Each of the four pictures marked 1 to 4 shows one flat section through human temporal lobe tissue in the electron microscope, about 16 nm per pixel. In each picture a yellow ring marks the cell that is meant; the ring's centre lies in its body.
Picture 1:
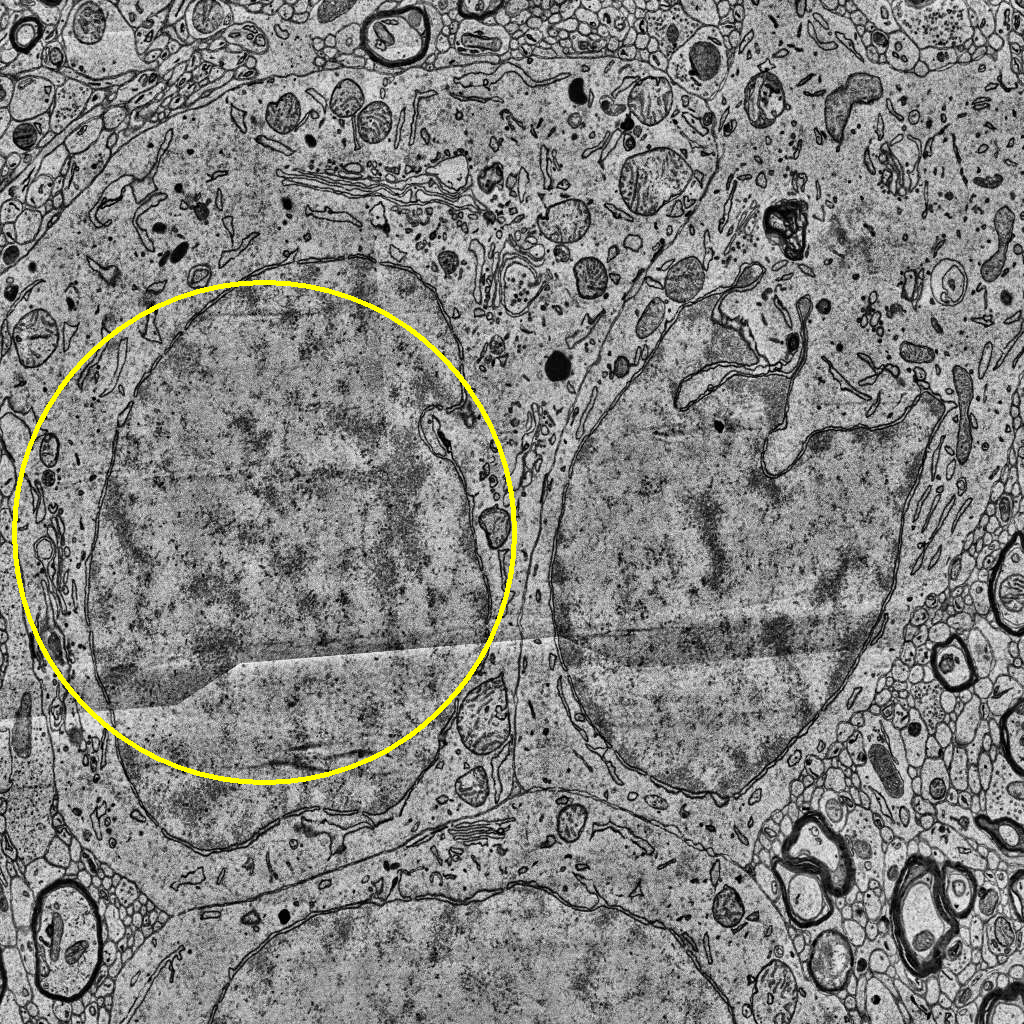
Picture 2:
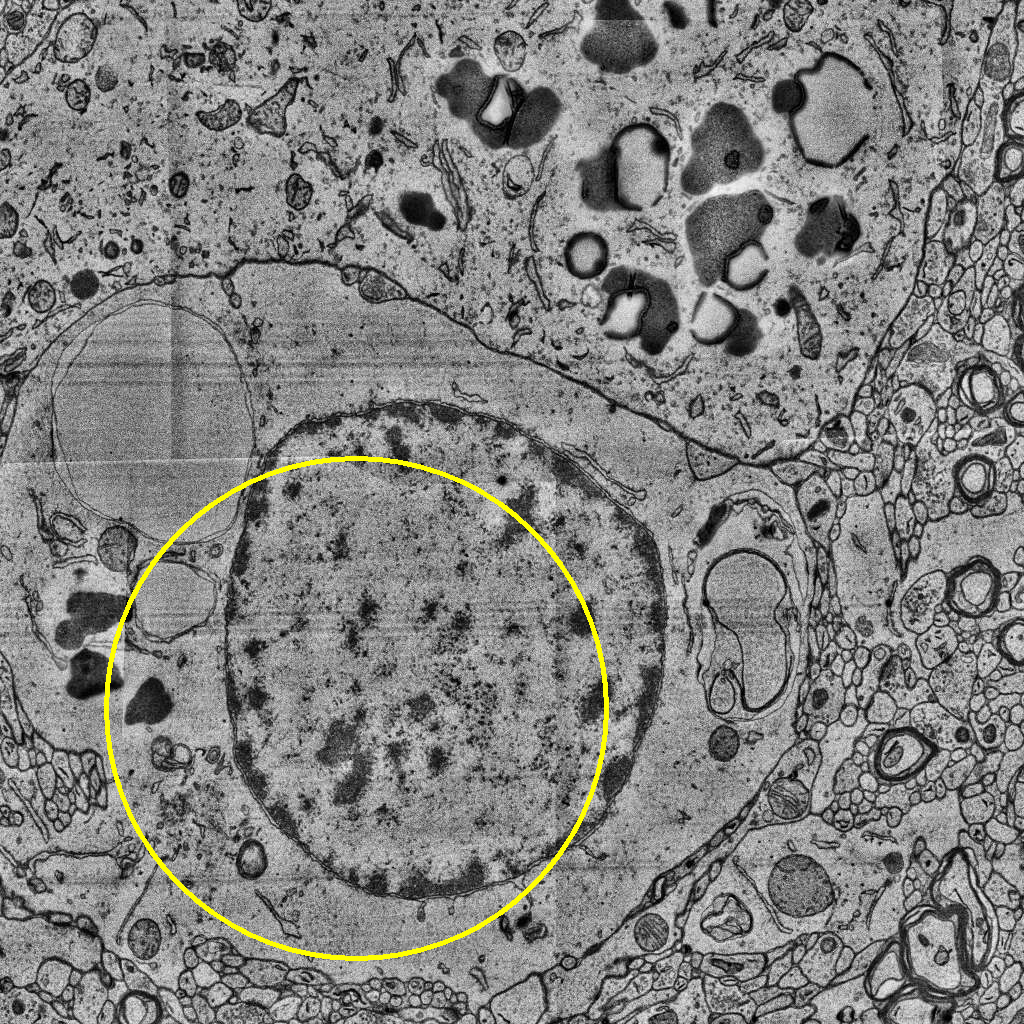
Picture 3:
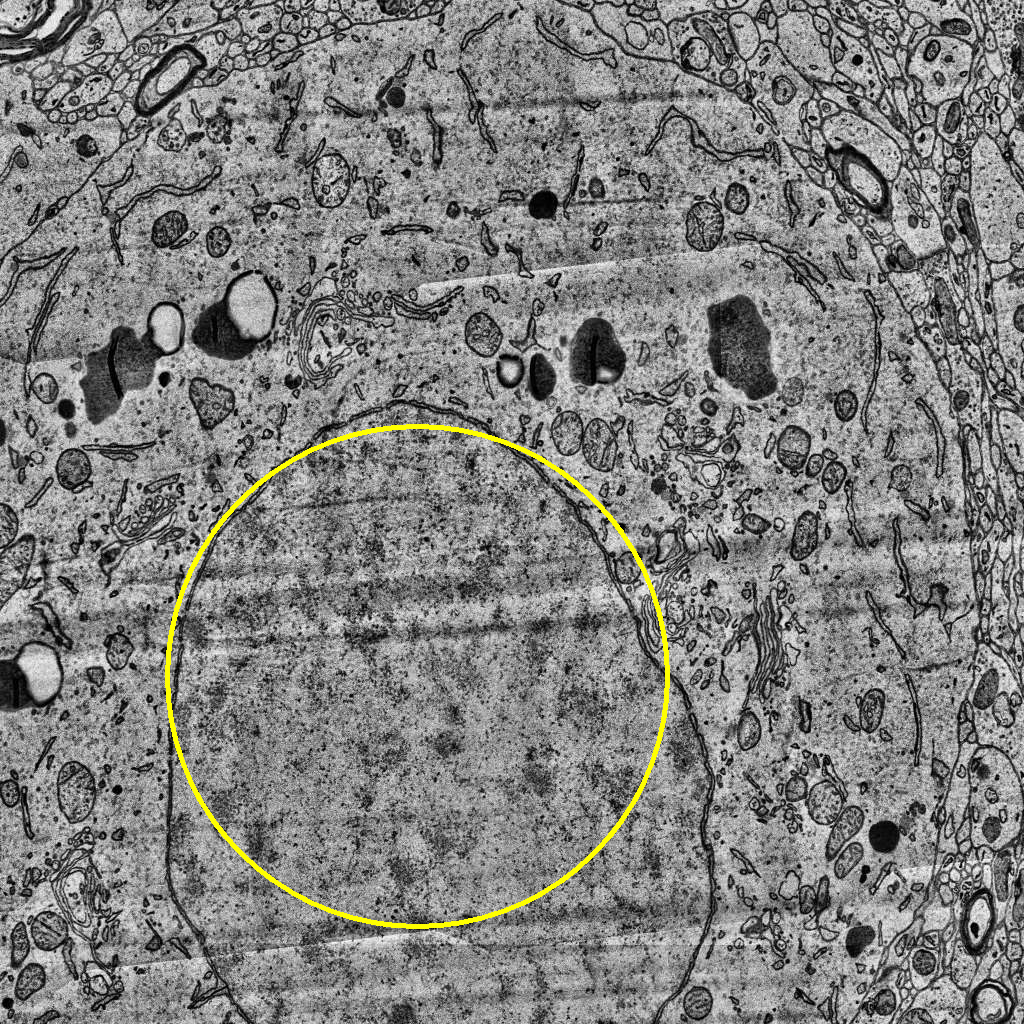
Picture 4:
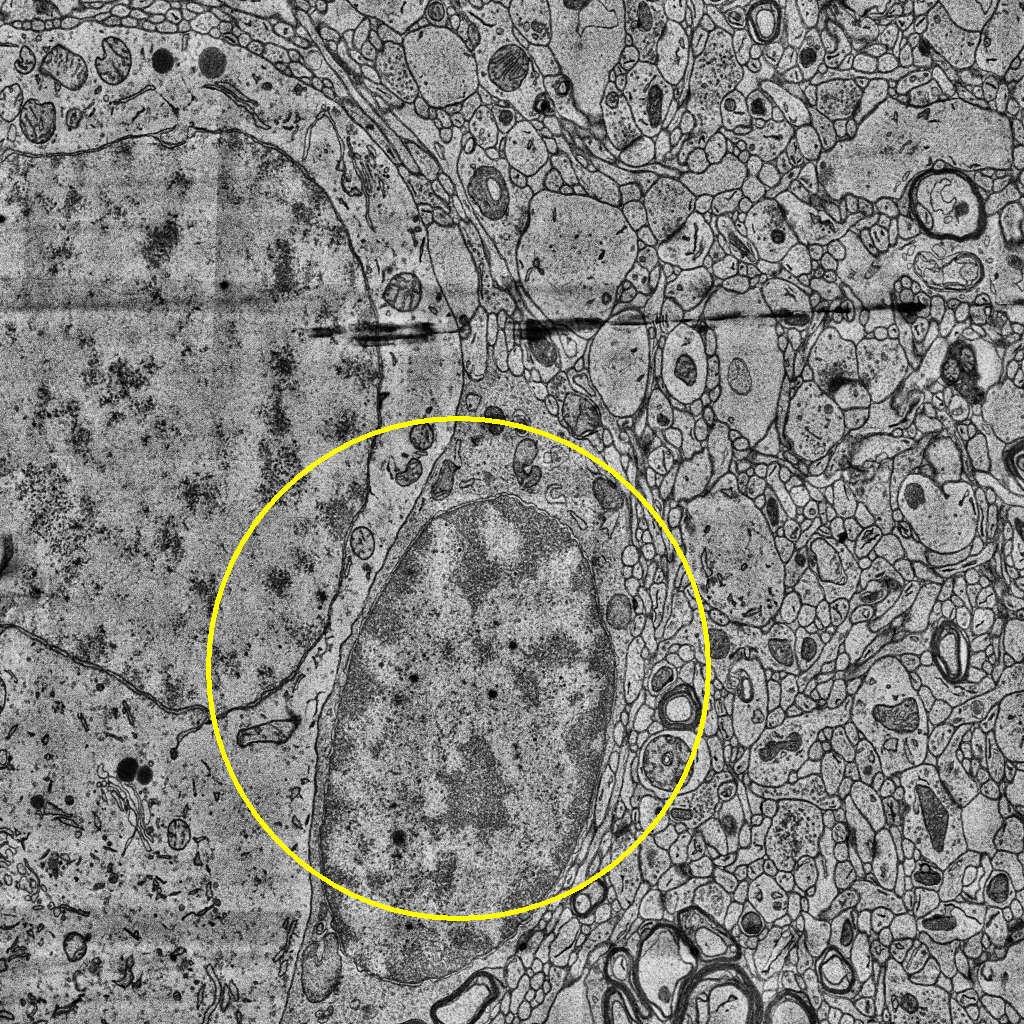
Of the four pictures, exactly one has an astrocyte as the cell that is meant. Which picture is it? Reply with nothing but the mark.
2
